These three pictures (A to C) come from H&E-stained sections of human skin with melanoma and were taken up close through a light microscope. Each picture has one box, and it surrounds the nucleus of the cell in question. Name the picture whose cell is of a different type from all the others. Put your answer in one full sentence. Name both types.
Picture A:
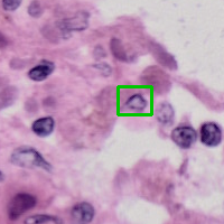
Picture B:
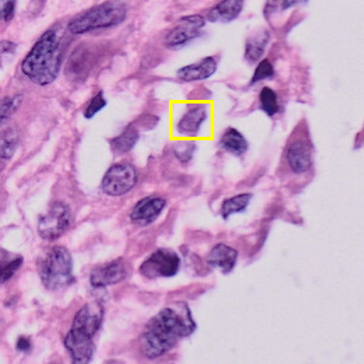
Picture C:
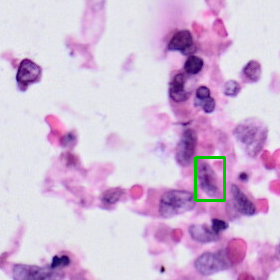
Picture A differs, because its cell is a “macrophage or monocyte” and the rest are melanoma cells.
